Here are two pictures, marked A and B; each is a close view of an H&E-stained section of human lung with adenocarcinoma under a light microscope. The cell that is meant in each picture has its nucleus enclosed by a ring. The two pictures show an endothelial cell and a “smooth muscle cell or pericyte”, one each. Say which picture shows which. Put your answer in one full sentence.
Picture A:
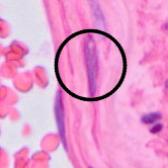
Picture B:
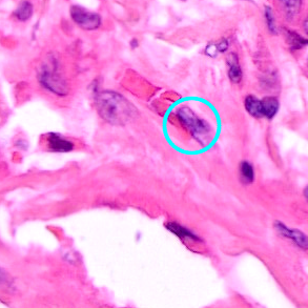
In picture A the cell is a “smooth muscle cell or pericyte”; in picture B, an endothelial cell.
